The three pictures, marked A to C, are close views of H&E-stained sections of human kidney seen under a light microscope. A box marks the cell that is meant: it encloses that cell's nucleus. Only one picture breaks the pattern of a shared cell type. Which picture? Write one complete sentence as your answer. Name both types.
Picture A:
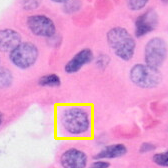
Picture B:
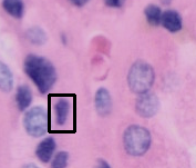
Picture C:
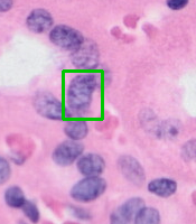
Unlike the rest, which show collecting duct cells, picture A shows a “loop of Henle or distal tubule cell”.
